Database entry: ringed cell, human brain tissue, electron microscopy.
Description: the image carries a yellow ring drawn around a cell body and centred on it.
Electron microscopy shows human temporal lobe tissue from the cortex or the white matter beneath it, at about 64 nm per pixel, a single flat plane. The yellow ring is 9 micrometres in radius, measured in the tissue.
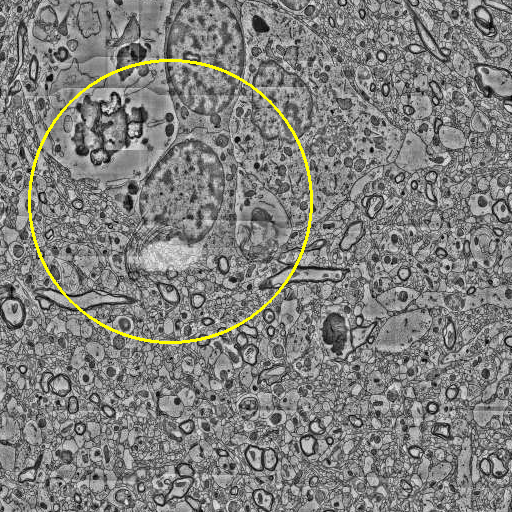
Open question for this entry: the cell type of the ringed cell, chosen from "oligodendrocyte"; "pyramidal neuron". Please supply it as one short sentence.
The ringed cell is an oligodendrocyte.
